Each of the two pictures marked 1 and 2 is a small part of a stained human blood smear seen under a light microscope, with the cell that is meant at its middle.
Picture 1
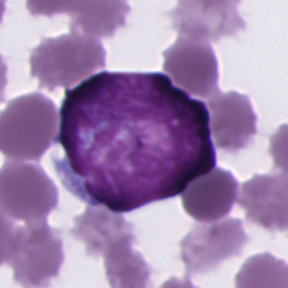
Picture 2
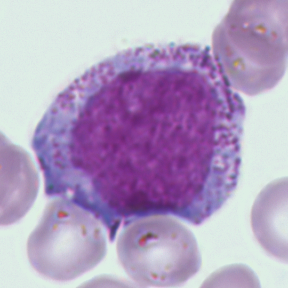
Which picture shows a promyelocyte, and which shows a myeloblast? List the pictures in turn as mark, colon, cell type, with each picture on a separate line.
1: myeloblast
2: promyelocyte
